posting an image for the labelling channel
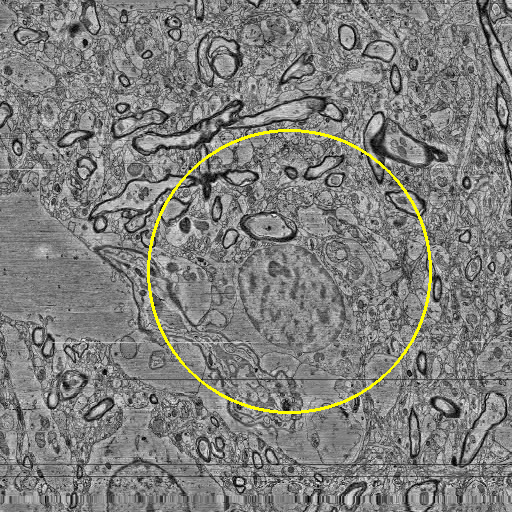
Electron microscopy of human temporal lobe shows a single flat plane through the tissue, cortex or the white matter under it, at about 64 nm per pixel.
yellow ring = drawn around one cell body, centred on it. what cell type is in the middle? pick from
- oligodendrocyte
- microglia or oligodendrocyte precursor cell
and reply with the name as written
oligodendrocyte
